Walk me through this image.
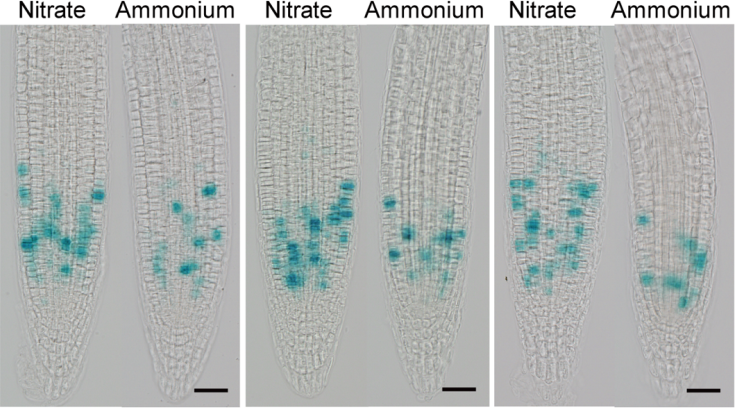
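Six root tips are shown in brightfield with pale, grey-outlined cells in longitudinal files tapering to the root cap. Blue-green staining appears in scattered individual cells clustered in the region of small cells above the cap. The stained cells are patchy rather than continuous, and in some of the roots they are fewer and lie in a shorter zone near the tip.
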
